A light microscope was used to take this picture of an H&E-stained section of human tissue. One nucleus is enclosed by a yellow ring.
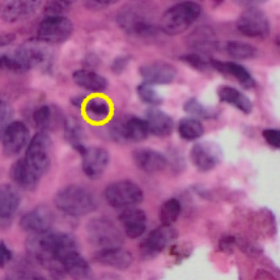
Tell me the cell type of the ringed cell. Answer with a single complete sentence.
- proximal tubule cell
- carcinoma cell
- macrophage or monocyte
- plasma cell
This is a macrophage or monocyte.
